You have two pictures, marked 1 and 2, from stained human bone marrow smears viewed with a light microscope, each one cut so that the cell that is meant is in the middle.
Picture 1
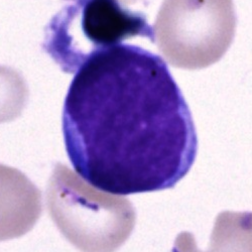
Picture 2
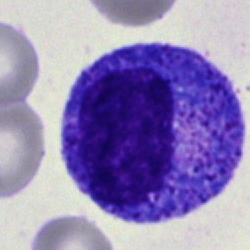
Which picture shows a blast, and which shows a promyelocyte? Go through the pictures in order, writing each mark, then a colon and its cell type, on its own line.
1: blast
2: promyelocyte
